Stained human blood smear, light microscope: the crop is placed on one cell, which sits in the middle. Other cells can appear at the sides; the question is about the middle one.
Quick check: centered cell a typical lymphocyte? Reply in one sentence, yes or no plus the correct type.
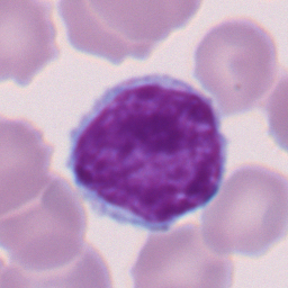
Yes, the middle cell in this crop is a typical lymphocyte.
